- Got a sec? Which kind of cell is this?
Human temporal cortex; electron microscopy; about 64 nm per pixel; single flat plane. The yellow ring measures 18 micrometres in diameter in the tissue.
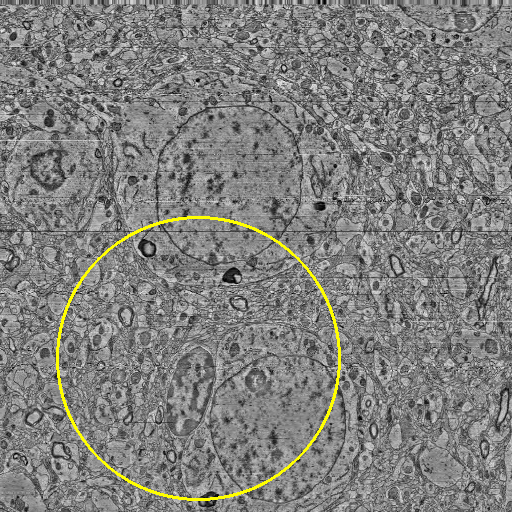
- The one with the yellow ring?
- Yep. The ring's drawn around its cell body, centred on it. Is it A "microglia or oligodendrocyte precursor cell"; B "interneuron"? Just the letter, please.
A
